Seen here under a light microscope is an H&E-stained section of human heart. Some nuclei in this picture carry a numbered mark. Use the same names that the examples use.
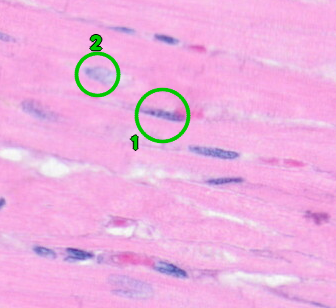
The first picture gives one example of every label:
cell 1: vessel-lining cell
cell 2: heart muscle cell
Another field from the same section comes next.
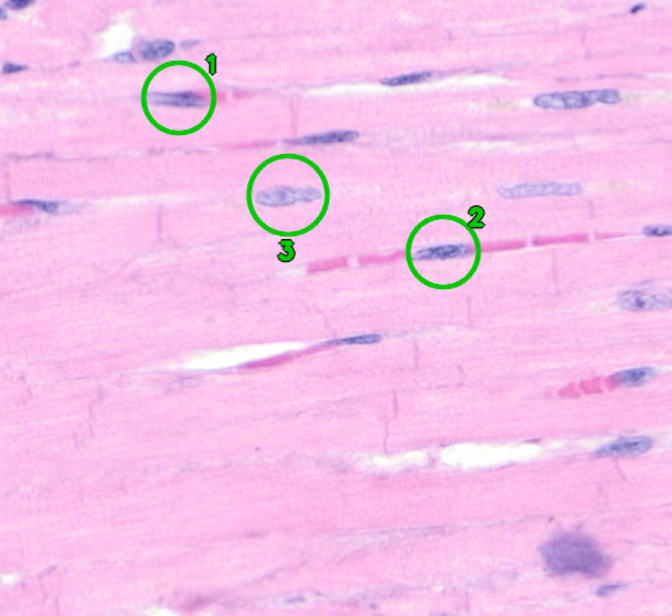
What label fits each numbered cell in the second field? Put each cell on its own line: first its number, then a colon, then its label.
1: vessel-lining cell
2: vessel-lining cell
3: heart muscle cell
